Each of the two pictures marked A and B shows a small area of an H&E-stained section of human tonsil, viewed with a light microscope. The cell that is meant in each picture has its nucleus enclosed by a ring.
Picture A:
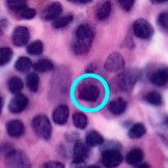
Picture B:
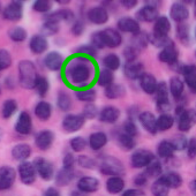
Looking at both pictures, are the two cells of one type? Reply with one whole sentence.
No. Picture A shows an endothelial cell, but picture B shows a small lymphocyte.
